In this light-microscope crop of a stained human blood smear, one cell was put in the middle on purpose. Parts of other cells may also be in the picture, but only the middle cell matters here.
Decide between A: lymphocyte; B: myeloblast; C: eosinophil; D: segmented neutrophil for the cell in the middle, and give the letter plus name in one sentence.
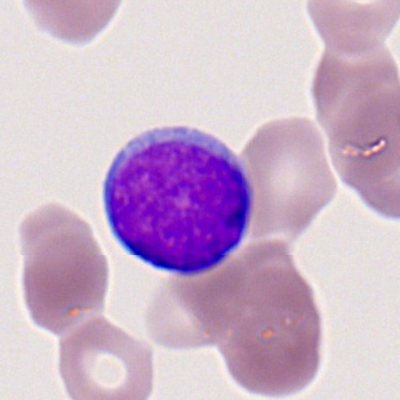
That cell in the center is a myeloblast, hence option B.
